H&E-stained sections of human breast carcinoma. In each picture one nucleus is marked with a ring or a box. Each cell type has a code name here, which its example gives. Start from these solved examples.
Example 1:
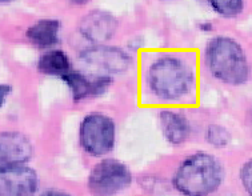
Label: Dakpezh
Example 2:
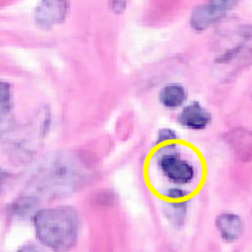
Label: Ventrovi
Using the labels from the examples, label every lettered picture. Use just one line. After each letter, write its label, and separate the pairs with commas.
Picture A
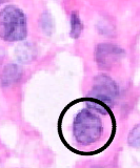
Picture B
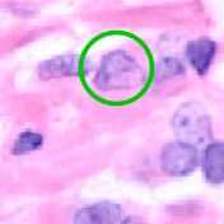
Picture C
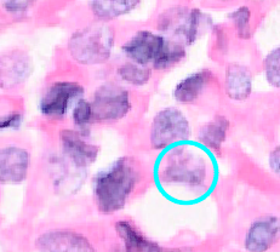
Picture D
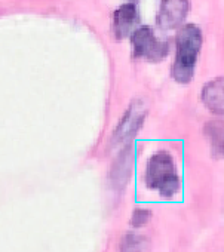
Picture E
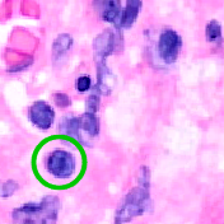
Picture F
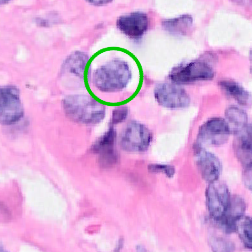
A Dakpezh, B Dakpezh, C Dakpezh, D Ventrovi, E Ventrovi, F Dakpezh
